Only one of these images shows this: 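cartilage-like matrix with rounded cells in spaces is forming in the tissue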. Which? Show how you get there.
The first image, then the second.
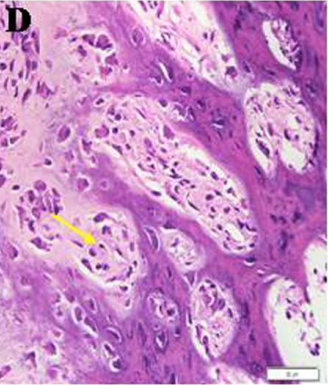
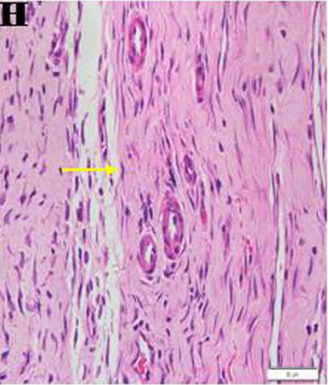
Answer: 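Second image: only pink fibrous tissue with elongated nuclei and small vessels. First image: broad dark purple matrix bands with pale areas holding rounded cells. On this evidence: the first image.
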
